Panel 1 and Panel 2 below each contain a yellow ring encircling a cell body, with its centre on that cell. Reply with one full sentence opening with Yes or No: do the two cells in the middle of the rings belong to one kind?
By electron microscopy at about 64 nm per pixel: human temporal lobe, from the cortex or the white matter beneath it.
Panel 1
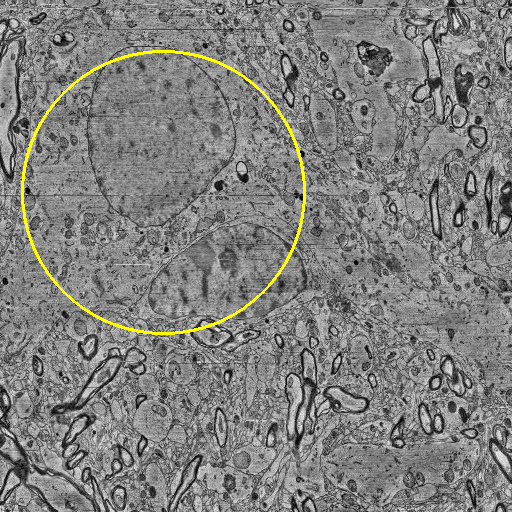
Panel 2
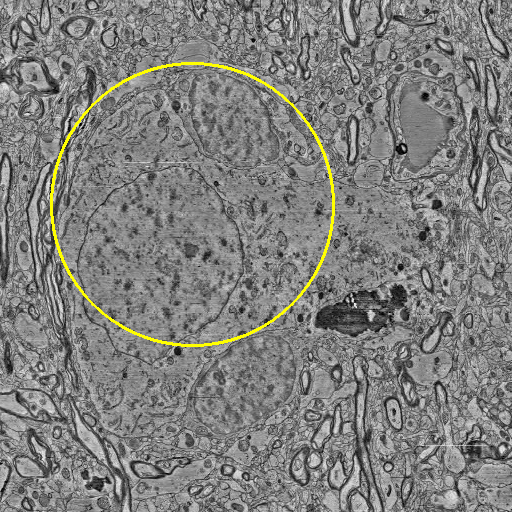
Yes, the cells at the middle of the Panel 1 ring and the Panel 2 ring are of one kind.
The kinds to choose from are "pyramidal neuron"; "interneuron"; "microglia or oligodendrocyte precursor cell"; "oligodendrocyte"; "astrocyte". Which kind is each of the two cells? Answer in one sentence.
In each picture the ringed cell is a pyramidal neuron.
